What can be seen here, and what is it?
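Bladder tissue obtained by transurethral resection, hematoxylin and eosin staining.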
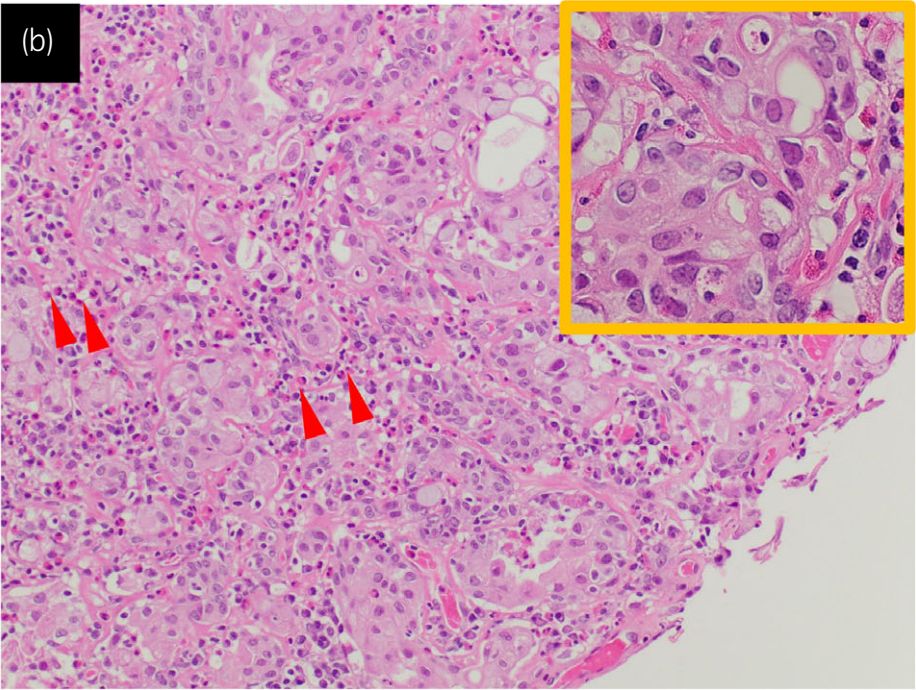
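This section shows a urothelial carcinoma: irregular nests and sheets of large tumor cells with ample pink cytoplasm lie within a loose fibrous stroma. Between the nests the stroma is crowded with inflammatory cells, among them eosinophils with bright red-orange granular cytoplasm. A few clear spaces and small vessels with red blood cells are scattered through the tissue.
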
